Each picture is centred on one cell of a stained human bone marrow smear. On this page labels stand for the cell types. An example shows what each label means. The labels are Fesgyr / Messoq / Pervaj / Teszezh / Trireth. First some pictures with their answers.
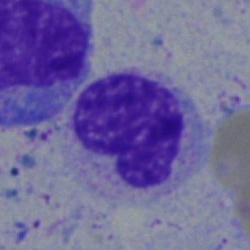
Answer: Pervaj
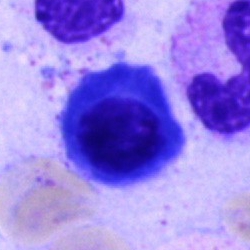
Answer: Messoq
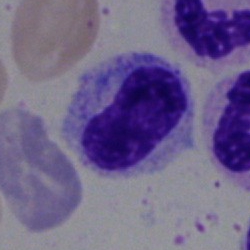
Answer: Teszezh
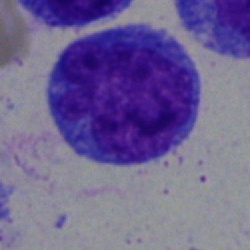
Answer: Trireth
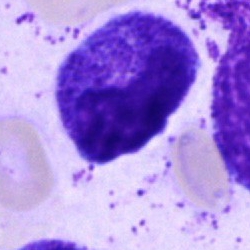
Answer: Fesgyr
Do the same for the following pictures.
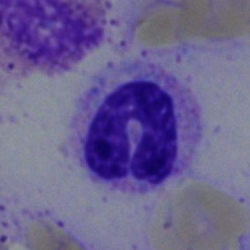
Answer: Pervaj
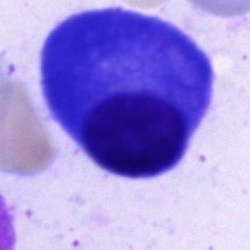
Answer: Messoq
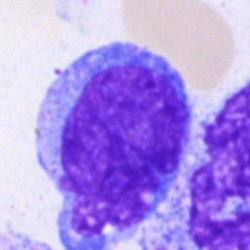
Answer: Trireth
